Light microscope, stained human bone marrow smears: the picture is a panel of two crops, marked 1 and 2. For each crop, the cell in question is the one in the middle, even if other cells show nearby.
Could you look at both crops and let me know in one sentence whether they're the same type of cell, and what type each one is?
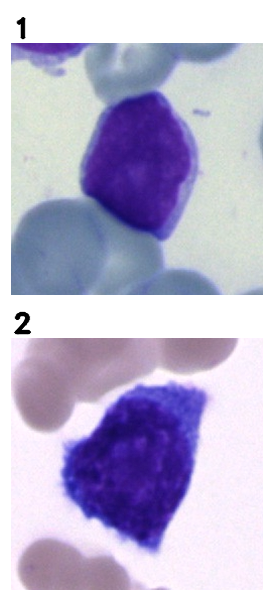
No, crop 1 features a lymphocyte, while crop 2 features a blast.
